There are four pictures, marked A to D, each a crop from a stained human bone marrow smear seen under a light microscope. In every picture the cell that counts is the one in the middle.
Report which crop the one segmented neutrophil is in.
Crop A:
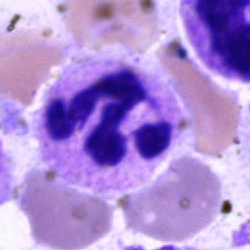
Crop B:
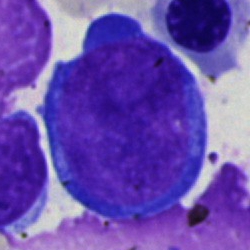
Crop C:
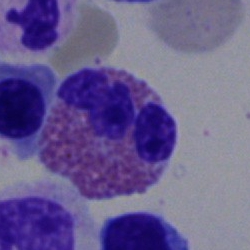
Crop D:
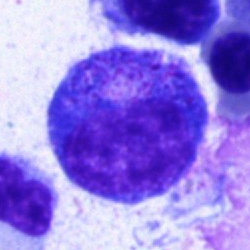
A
